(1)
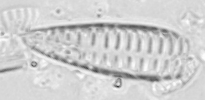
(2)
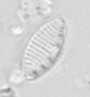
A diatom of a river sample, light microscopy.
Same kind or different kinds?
Different: the first is Rhoicosphenia, the second Nitzschia.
